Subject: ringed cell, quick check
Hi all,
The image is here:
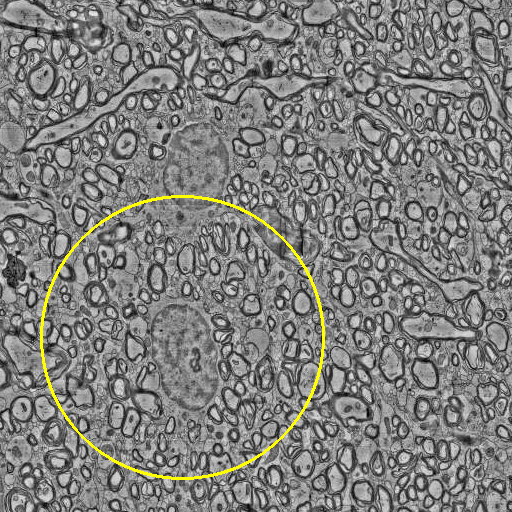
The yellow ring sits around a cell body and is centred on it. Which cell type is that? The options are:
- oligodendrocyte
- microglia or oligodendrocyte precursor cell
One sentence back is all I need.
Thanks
That ringed cell is an oligodendrocyte.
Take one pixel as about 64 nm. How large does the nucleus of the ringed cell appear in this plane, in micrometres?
The nucleus comes to roughly 7 by 5 micrometres in this plane.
